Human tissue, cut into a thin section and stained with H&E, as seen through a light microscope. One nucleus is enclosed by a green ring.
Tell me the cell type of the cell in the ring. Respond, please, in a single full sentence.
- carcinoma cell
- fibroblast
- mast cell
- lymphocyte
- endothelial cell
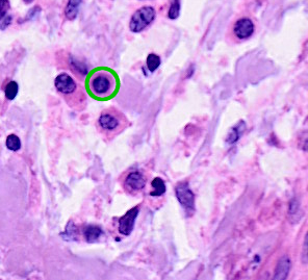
Recorded by type, the cell in the ring is a mast cell.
